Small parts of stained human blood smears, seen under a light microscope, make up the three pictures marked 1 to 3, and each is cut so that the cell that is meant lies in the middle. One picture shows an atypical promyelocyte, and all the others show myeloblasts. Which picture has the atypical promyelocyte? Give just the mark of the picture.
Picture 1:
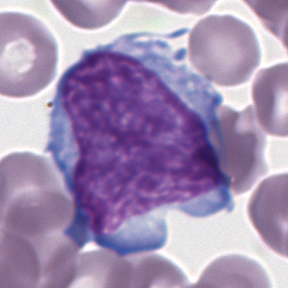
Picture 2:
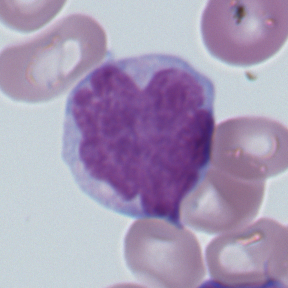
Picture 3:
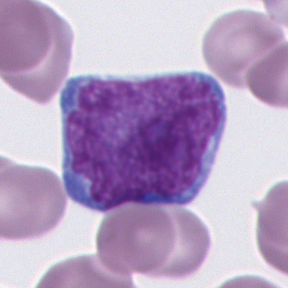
2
